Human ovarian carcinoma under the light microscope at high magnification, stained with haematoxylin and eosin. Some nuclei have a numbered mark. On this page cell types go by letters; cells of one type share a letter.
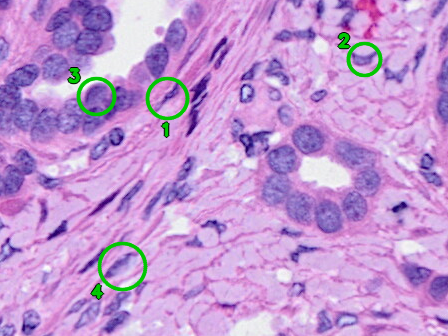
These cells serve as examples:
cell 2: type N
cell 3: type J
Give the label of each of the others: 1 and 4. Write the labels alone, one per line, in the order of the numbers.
type N
type N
